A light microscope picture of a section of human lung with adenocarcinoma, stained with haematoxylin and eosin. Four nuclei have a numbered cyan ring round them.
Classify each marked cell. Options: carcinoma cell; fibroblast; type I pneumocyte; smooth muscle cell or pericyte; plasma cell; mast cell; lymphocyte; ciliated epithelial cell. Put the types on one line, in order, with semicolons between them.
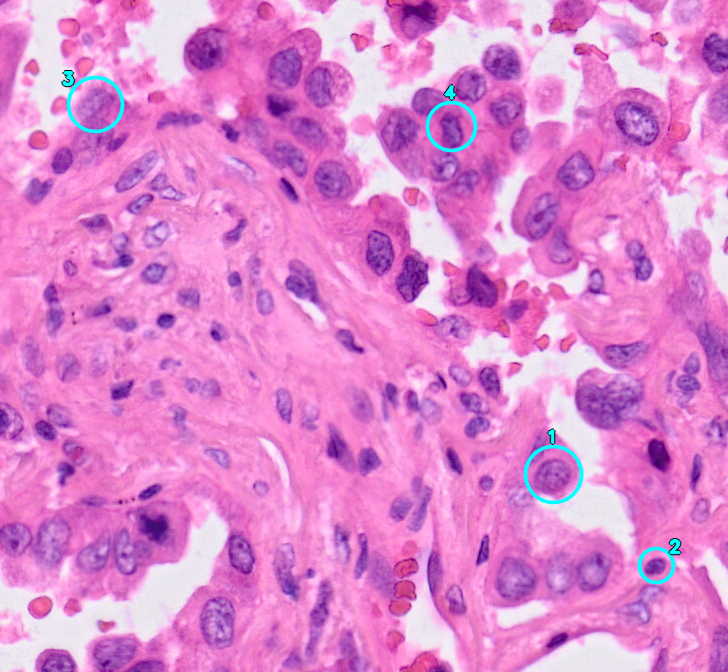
carcinoma cell; lymphocyte; carcinoma cell; carcinoma cell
